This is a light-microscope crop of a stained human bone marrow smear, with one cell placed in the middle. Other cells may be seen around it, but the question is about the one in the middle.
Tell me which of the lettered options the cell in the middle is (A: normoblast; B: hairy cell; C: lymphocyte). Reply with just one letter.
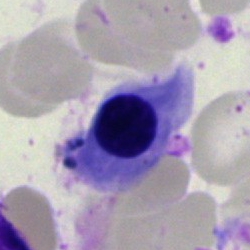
A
